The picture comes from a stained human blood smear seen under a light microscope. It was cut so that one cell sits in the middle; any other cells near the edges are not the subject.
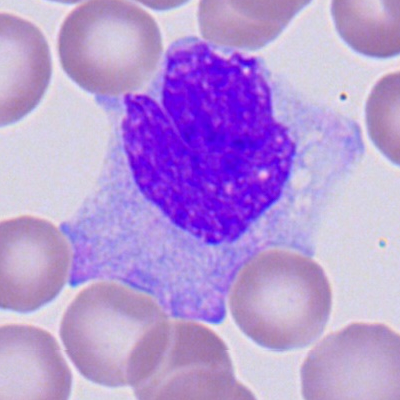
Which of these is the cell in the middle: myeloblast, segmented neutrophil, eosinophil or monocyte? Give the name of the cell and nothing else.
monocyte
